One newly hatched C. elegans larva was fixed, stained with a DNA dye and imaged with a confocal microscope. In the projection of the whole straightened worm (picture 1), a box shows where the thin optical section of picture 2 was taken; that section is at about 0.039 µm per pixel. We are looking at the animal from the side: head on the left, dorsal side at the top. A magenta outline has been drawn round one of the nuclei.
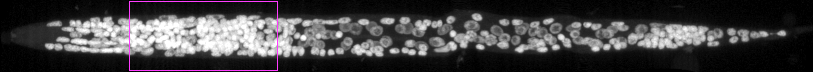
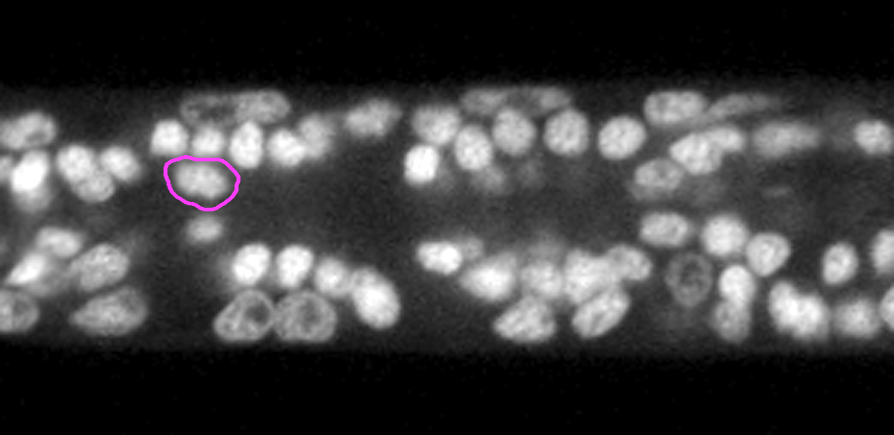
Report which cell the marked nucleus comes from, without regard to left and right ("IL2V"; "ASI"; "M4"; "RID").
M4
